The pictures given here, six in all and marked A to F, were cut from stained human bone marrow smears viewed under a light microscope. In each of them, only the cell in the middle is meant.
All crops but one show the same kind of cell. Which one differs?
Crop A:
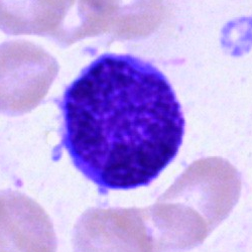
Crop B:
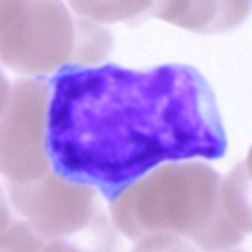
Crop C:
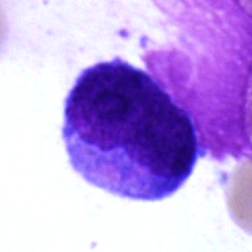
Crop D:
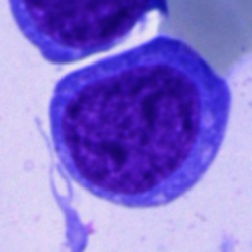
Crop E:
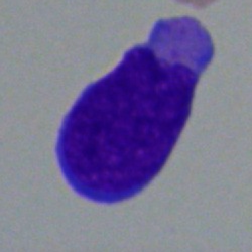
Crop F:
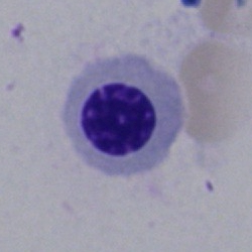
F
